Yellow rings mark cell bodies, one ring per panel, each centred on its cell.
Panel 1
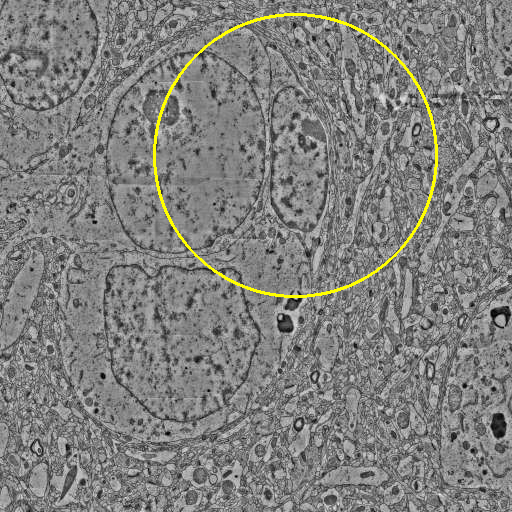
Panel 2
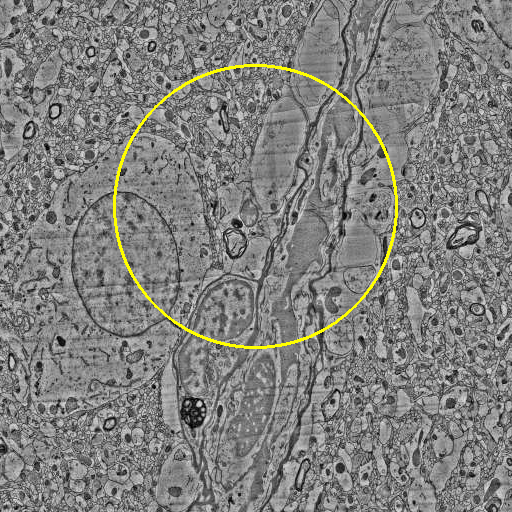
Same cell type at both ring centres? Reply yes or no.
yes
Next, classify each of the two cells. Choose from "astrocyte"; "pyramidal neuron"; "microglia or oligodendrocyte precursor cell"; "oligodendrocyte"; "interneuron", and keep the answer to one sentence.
In the first picture and in the second, the ring is centred on a microglial cell or oligodendrocyte precursor cell.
